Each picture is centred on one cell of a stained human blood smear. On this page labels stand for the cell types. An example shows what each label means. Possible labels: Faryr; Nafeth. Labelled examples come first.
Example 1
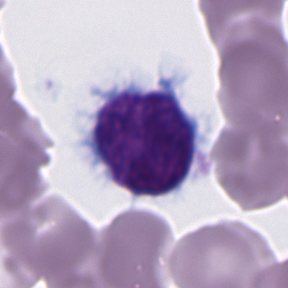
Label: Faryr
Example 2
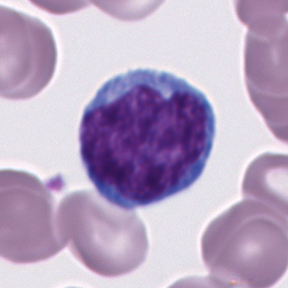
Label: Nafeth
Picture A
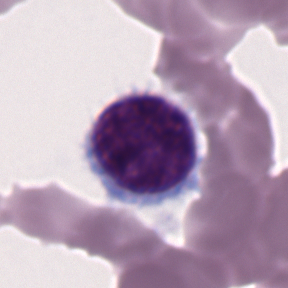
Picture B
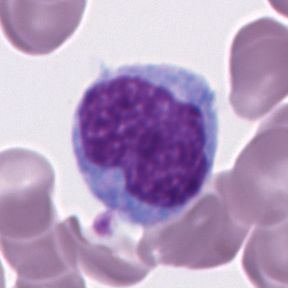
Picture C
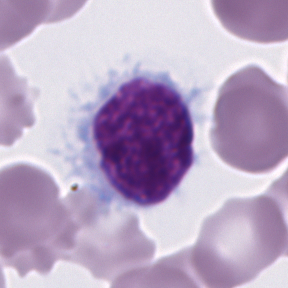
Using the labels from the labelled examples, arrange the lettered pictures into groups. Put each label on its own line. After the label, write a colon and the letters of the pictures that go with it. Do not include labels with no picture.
Faryr: A, C
Nafeth: B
